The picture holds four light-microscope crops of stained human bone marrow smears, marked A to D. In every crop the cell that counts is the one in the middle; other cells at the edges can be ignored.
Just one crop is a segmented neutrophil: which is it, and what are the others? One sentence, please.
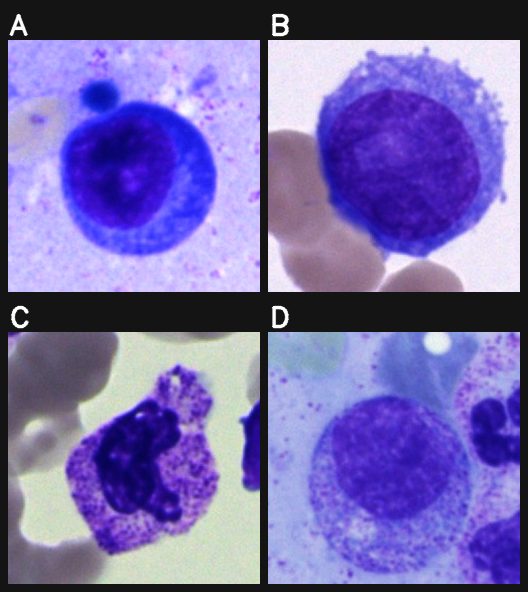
At the centre of crop C lies a segmented neutrophil, while crop A is a plasma cell, crop B is a blast and crop D is a myelocyte.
